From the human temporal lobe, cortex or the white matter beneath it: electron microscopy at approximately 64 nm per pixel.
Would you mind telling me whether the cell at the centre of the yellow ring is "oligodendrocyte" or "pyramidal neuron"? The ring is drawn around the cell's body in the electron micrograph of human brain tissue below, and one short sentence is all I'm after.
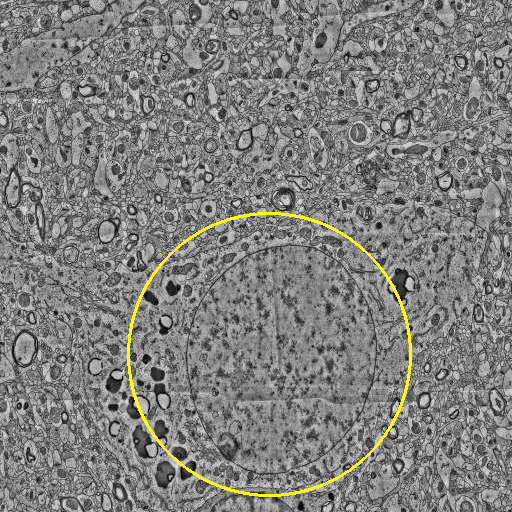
In the centre of the ring lies a pyramidal neuron.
